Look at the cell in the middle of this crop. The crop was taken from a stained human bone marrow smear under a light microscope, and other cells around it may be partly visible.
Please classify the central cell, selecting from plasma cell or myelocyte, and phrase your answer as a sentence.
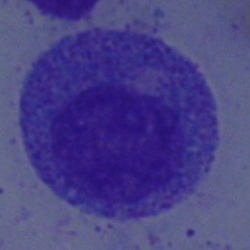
Present in the middle of the crop is a myelocyte.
